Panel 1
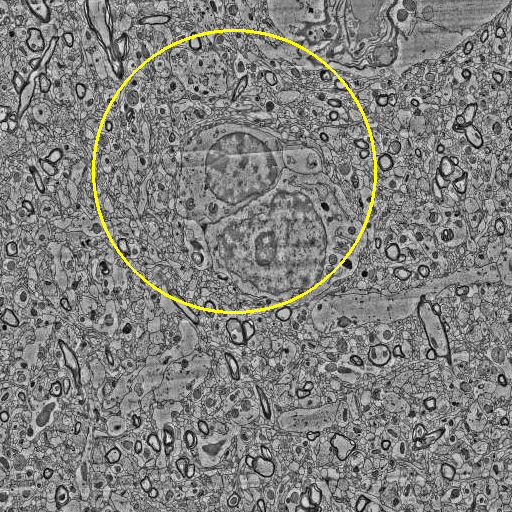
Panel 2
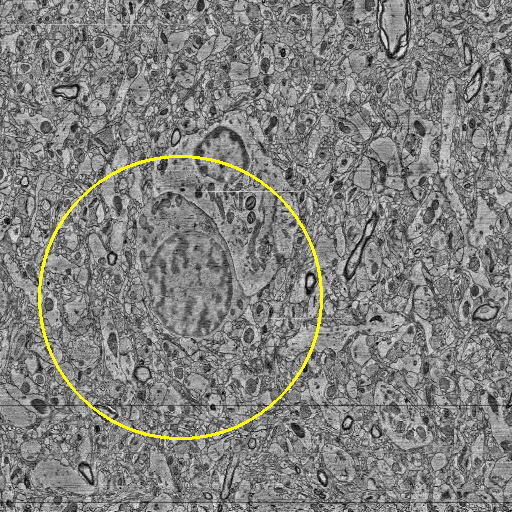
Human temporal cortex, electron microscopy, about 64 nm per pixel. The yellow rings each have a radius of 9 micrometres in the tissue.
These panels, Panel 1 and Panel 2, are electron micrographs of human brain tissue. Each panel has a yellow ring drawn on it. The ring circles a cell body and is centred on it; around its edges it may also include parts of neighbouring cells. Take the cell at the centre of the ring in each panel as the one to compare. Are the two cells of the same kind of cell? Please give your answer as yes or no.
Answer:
yes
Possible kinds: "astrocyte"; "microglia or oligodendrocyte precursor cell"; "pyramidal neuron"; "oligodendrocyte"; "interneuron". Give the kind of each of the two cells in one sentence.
In both pictures the ring is centred on an oligodendrocyte.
